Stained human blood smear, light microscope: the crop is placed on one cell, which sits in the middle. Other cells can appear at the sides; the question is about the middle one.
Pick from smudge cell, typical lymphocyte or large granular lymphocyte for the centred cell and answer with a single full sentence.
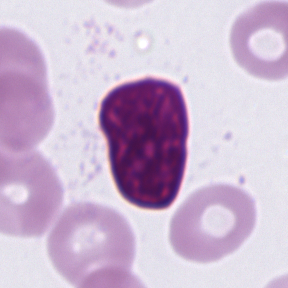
The crop centres on a single cell, and that cell is a smudge cell.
